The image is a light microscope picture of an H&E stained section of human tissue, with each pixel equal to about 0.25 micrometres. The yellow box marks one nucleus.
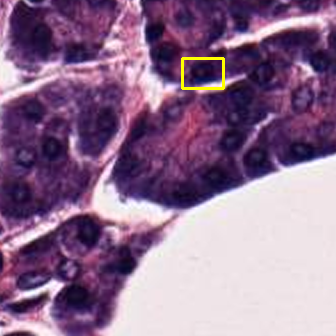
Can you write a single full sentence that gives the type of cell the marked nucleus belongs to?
The marked nucleus belongs to a pancreatic acinar cell.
